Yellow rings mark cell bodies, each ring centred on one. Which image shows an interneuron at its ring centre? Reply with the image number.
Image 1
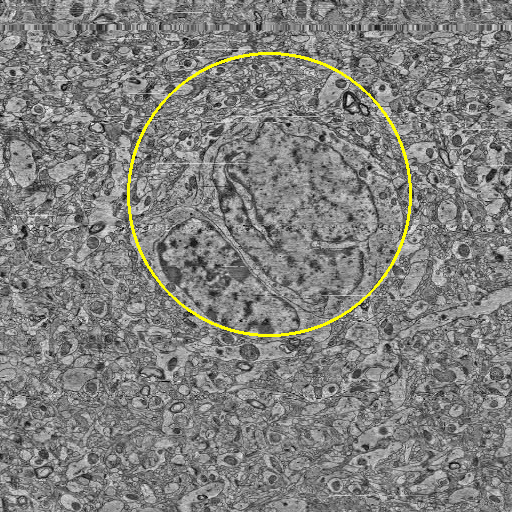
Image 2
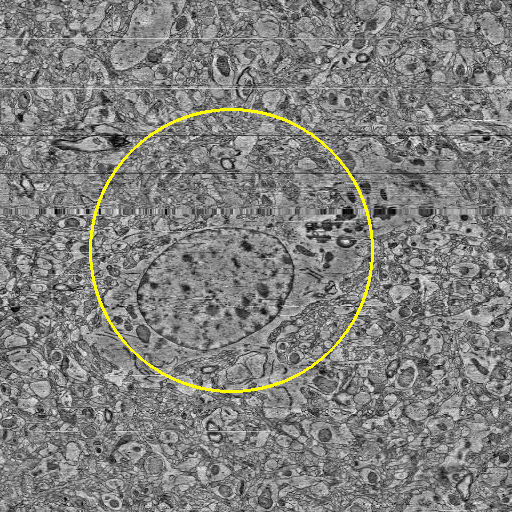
1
